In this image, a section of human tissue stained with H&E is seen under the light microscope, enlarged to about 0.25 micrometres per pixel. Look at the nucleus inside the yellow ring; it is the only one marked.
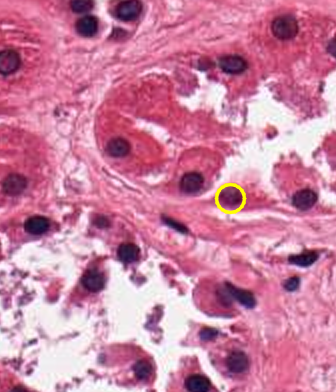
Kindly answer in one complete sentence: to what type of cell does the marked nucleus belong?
The cell that the marked nucleus belongs to is a proximal tubule cell.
